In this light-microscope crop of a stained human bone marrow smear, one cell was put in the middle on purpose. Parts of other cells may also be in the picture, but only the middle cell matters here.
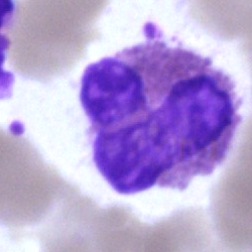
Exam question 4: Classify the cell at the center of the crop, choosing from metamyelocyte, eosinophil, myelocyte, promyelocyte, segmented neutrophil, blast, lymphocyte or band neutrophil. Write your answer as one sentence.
Within this crop, an eosinophil occupies the central position.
